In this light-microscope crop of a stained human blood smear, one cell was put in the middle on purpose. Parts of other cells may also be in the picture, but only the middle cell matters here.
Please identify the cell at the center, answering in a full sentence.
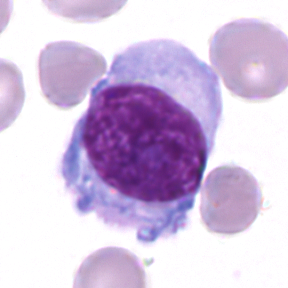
Positioned in the middle of the crop is a plasma cell.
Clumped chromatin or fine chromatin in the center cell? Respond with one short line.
The chromatin pattern is fine and free of coarse clumps.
